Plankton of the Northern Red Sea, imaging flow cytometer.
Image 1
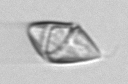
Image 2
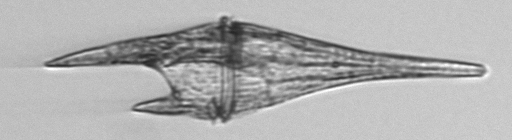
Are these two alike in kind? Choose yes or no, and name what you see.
No. First Gyrodinium, second Tripos.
